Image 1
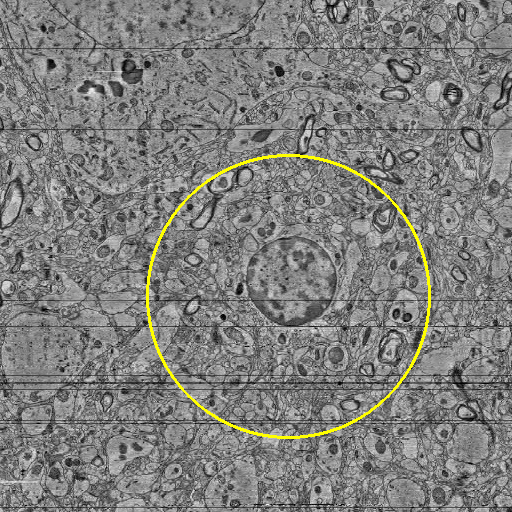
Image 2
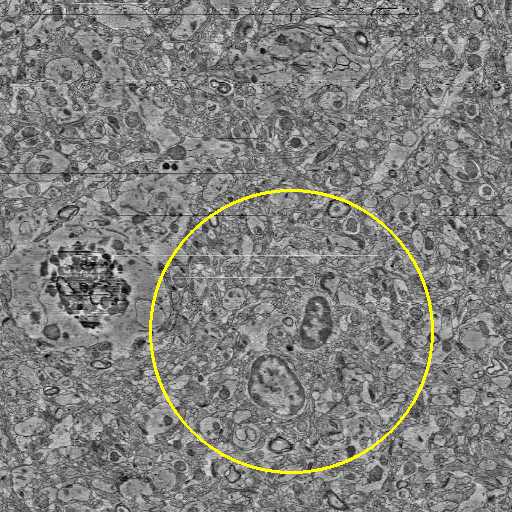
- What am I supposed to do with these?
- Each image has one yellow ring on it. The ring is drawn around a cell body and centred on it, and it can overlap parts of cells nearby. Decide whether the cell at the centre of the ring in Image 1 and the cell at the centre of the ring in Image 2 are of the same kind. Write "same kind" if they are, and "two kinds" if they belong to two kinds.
same kind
